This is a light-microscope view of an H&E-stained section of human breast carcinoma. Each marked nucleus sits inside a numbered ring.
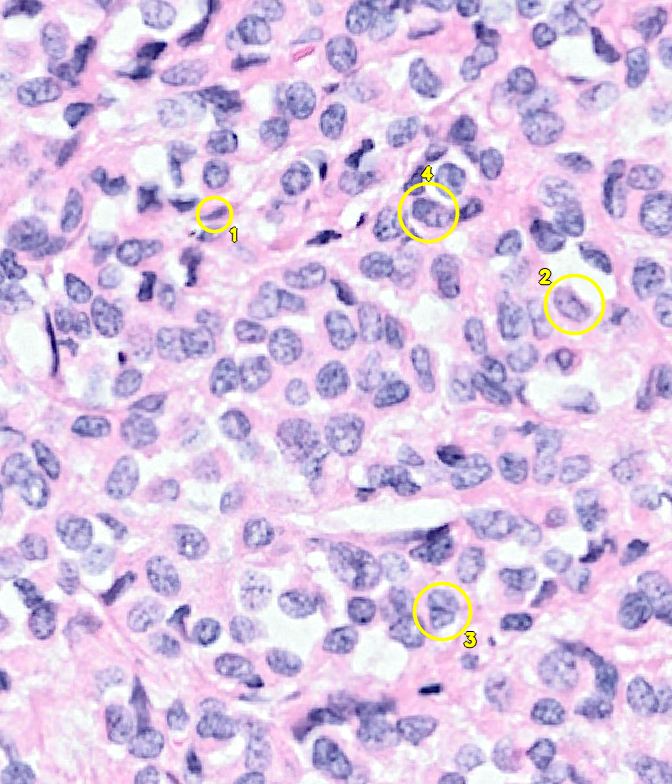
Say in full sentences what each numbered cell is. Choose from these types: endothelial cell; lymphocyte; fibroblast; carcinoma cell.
Cell 1 is an endothelial cell, cell 2 is a carcinoma cell, cell 3 is a carcinoma cell and cell 4 is a carcinoma cell.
